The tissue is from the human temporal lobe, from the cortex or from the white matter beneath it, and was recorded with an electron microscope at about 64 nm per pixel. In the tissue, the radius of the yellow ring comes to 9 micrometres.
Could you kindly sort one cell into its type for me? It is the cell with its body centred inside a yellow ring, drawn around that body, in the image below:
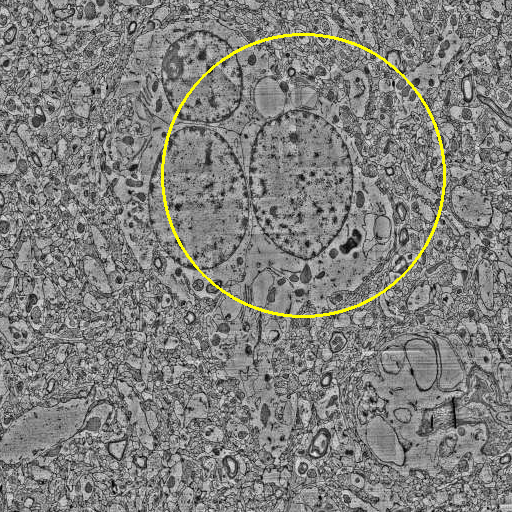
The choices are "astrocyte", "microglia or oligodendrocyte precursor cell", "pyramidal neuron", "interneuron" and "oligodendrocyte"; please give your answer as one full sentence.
The cell whose body lies centred in the yellow ring here is an astrocyte.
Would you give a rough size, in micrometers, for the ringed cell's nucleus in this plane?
In this plane the nucleus spans approximately 9 by 7 micrometers.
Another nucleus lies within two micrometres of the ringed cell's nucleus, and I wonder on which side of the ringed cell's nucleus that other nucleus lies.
The other nucleus can be seen to the left of it.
